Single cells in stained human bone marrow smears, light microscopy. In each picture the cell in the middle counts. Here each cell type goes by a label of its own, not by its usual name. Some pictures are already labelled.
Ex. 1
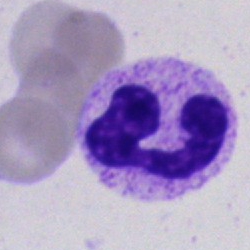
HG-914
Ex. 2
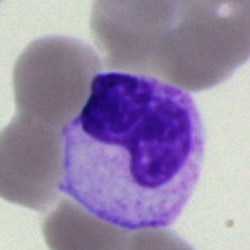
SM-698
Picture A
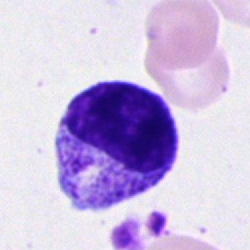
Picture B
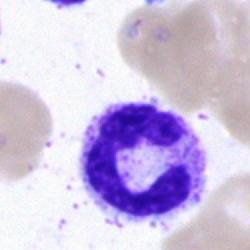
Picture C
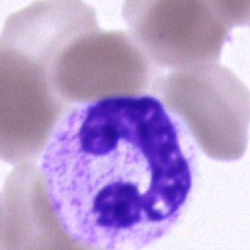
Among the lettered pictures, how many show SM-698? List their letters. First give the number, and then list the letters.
1, namely A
